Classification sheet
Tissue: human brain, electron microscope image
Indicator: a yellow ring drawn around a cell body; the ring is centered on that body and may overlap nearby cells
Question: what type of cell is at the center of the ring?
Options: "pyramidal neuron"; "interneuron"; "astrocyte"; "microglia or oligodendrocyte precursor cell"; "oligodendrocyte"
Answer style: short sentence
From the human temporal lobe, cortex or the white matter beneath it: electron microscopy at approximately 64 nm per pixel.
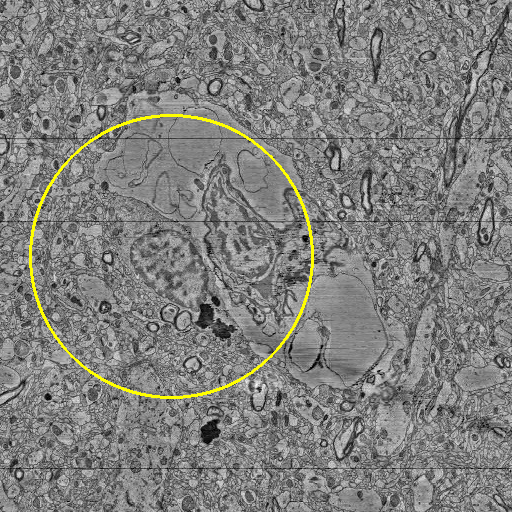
At the ring's center is an oligodendrocyte.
